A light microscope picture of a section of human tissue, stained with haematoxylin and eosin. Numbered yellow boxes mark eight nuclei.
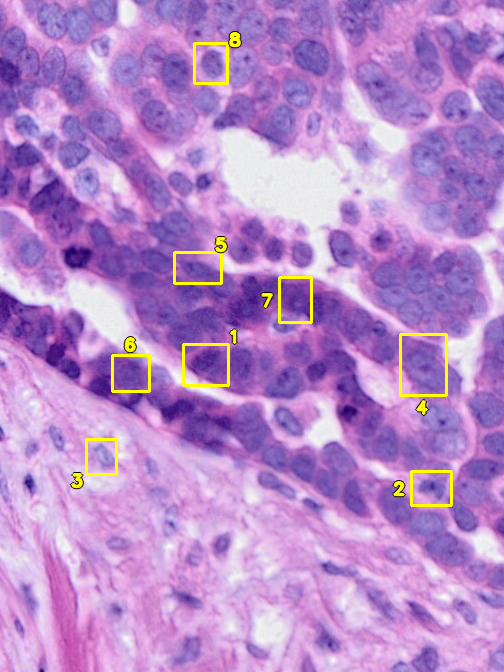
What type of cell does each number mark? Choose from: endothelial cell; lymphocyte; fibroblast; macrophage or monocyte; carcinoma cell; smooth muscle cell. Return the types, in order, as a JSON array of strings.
["carcinoma cell", "macrophage or monocyte", "fibroblast", "carcinoma cell", "carcinoma cell", "carcinoma cell", "carcinoma cell", "macrophage or monocyte"]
